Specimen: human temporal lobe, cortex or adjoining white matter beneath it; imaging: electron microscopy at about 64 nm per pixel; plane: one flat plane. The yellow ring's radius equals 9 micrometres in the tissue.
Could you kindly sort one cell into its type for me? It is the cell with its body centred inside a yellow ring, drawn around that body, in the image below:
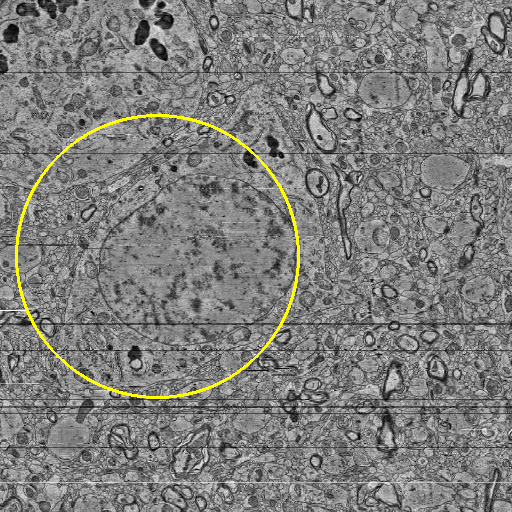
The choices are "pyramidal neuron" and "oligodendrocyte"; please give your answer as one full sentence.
The cell whose body lies centred in the yellow ring here is a pyramidal neuron.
